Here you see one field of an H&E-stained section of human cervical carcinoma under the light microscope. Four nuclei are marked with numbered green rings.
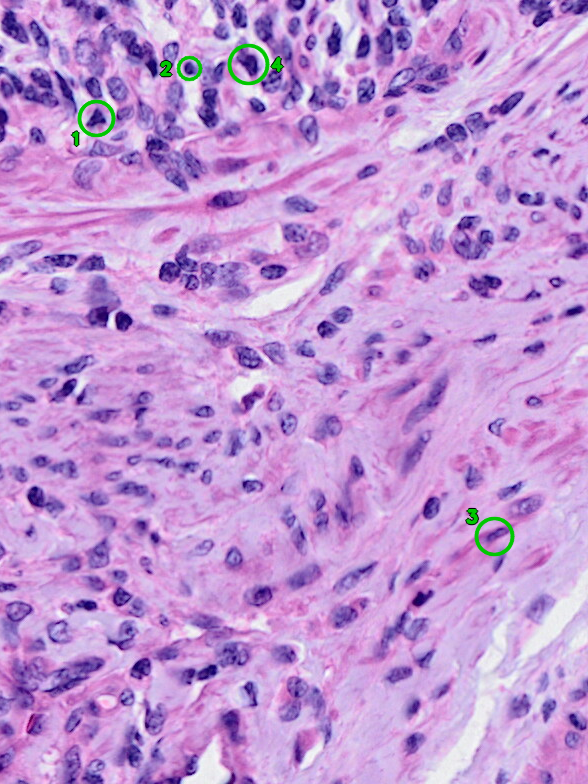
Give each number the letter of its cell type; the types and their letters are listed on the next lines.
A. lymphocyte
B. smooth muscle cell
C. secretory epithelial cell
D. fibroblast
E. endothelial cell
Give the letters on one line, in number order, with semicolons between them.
A; A; B; A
